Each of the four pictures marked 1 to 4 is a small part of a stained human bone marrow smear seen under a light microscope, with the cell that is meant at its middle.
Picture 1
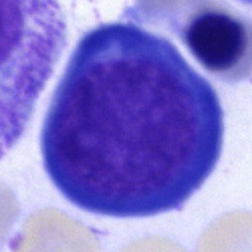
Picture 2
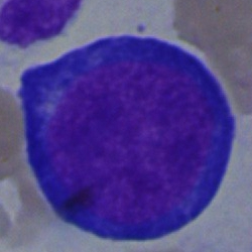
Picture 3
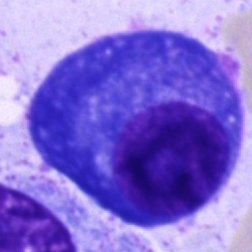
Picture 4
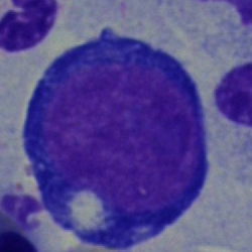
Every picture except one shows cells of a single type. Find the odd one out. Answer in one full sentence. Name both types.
Picture 3 differs, because its cell is a plasma cell and the rest are proerythroblasts.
